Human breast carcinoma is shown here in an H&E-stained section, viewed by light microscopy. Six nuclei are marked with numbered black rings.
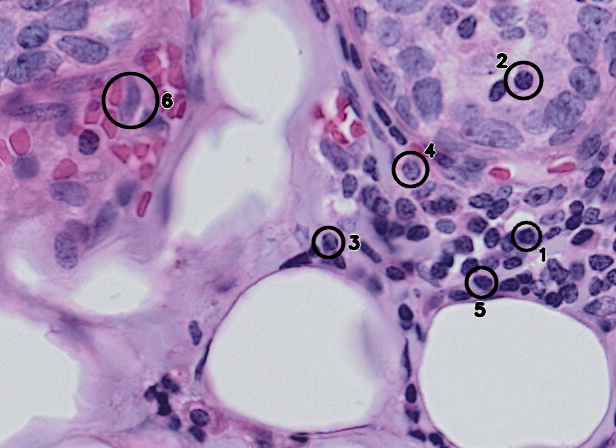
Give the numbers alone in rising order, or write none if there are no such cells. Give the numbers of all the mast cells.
4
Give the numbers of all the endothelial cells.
6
